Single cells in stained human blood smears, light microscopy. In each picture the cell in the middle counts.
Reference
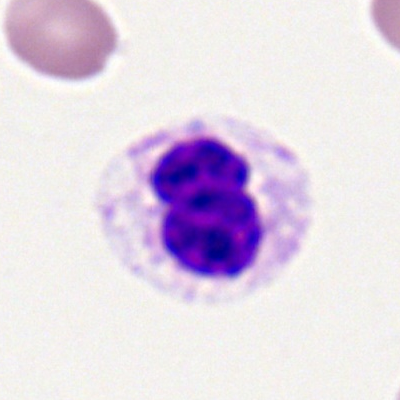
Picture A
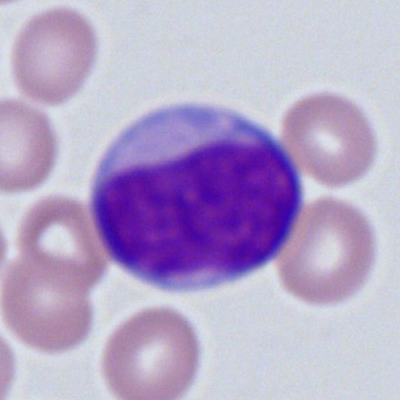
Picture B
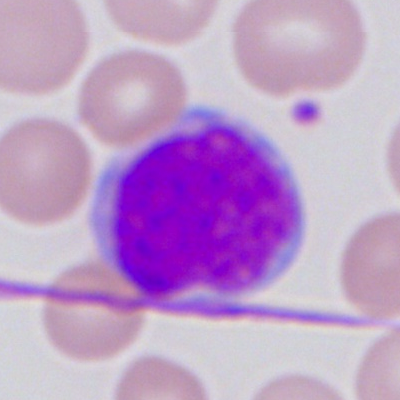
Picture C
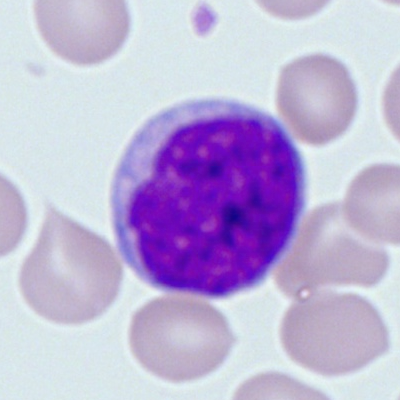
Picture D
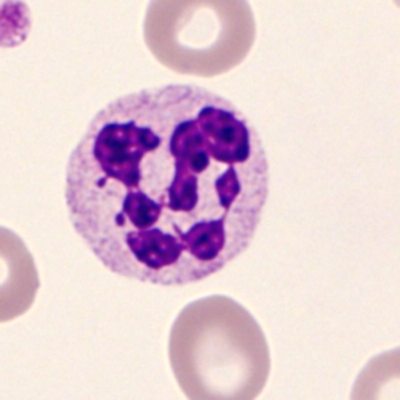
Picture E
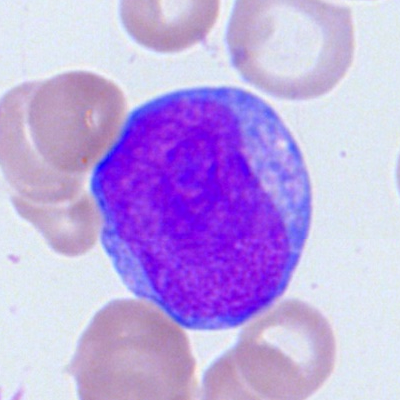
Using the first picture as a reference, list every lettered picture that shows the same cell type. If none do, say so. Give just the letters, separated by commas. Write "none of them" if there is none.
D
